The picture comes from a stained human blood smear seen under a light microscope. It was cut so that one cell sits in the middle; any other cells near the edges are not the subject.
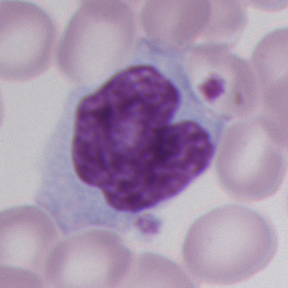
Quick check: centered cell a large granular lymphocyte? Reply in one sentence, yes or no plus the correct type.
No, in this crop the central cell is a monocyte instead of a large granular lymphocyte.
